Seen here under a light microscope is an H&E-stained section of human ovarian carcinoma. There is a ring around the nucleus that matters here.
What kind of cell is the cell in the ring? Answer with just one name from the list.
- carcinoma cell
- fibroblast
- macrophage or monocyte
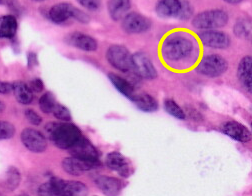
carcinoma cell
